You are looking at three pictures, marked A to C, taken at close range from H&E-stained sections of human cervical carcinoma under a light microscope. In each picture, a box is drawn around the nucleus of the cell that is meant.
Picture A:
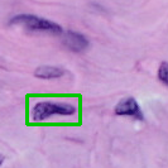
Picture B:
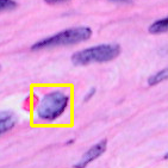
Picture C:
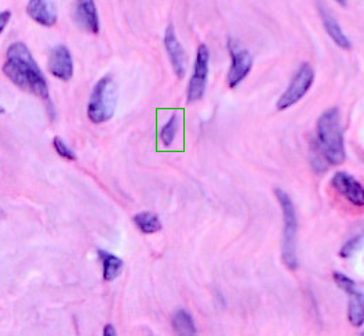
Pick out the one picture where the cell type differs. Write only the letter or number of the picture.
B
